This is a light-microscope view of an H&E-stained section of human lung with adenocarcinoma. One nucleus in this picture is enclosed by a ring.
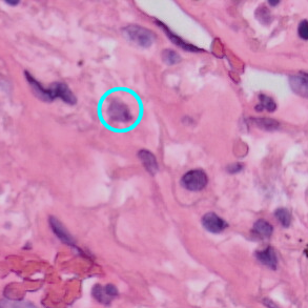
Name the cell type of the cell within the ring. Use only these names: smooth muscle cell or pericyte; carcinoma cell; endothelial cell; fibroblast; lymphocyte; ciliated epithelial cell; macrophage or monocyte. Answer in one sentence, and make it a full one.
It is a fibroblast that the cell within the ring represents.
